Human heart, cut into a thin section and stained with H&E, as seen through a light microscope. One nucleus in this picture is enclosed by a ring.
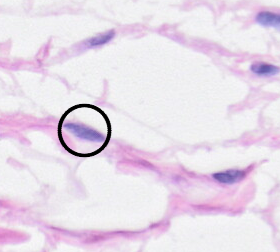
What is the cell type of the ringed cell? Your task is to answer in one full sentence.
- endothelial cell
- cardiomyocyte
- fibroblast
As for its identity, the ringed cell is a fibroblast.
